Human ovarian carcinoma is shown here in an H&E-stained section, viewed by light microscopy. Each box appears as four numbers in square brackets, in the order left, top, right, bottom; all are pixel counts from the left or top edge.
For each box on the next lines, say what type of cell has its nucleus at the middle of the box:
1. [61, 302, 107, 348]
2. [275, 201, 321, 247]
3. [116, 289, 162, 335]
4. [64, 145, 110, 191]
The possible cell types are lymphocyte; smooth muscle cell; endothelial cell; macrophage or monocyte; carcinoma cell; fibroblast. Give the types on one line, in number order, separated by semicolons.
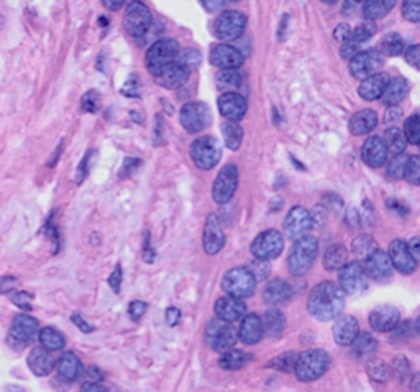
fibroblast; carcinoma cell; fibroblast; fibroblast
